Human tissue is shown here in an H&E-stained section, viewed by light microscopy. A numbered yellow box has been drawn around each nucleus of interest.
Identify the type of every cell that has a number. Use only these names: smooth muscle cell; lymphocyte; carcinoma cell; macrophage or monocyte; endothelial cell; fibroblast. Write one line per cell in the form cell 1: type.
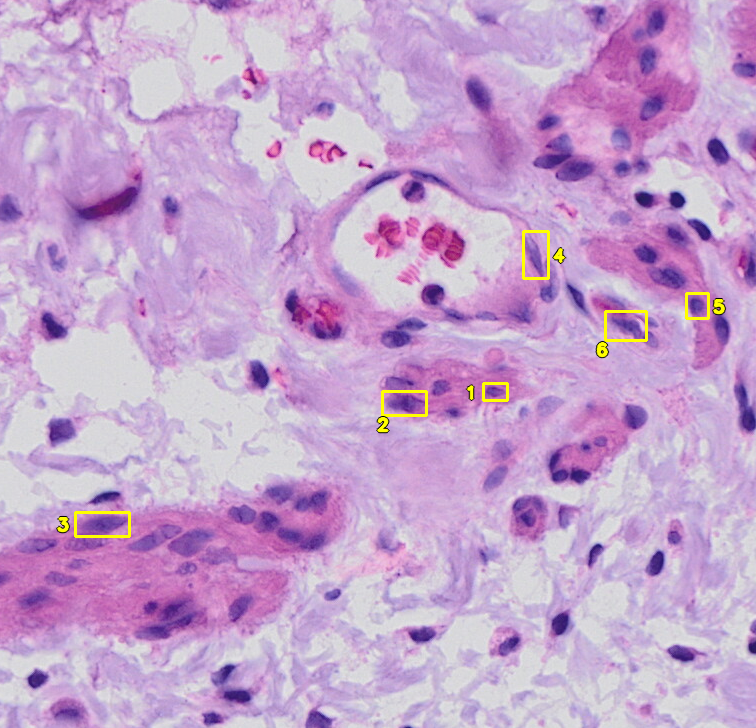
cell 1: smooth muscle cell
cell 2: smooth muscle cell
cell 3: smooth muscle cell
cell 4: endothelial cell
cell 5: smooth muscle cell
cell 6: endothelial cell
